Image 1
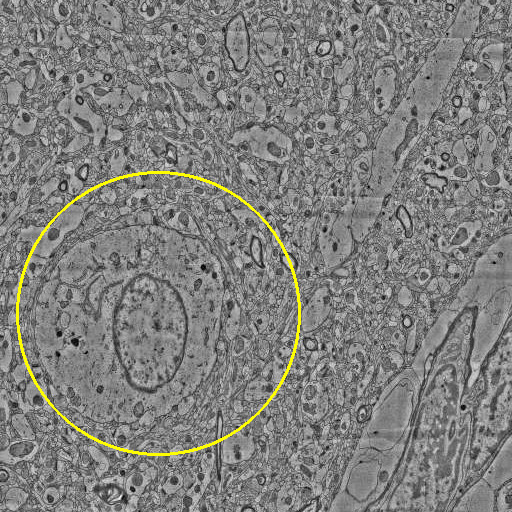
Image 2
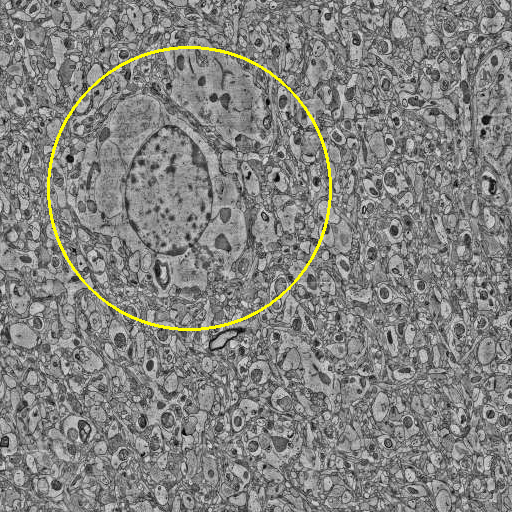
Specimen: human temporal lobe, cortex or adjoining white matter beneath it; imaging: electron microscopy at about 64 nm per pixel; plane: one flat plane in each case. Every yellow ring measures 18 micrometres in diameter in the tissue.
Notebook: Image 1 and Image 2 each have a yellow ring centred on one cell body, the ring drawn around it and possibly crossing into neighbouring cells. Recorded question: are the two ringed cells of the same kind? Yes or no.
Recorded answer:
no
